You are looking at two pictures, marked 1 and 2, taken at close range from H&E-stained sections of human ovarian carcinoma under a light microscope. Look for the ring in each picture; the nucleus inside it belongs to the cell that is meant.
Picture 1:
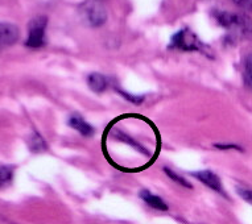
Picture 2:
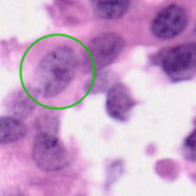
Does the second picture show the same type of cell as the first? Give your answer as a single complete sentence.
No. Picture 1 shows a fibroblast, but picture 2 shows a carcinoma cell.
